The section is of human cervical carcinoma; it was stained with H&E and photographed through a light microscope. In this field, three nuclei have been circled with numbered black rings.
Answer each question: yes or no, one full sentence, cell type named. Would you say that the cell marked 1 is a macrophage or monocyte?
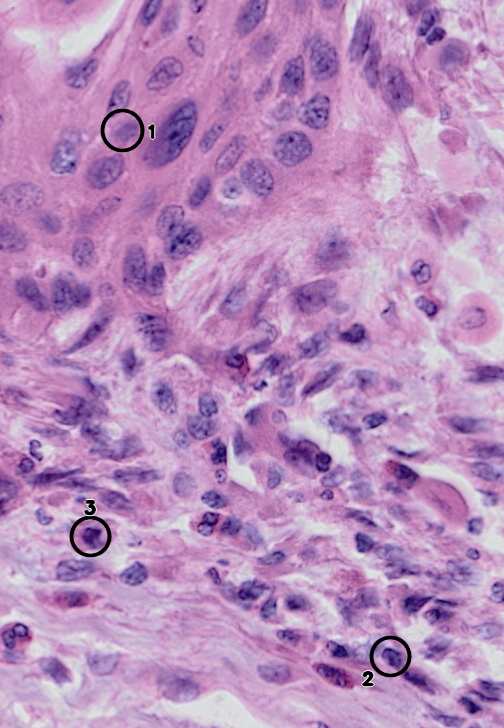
No, cell 1 is not a macrophage or monocyte: it is a squamous carcinoma cell.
